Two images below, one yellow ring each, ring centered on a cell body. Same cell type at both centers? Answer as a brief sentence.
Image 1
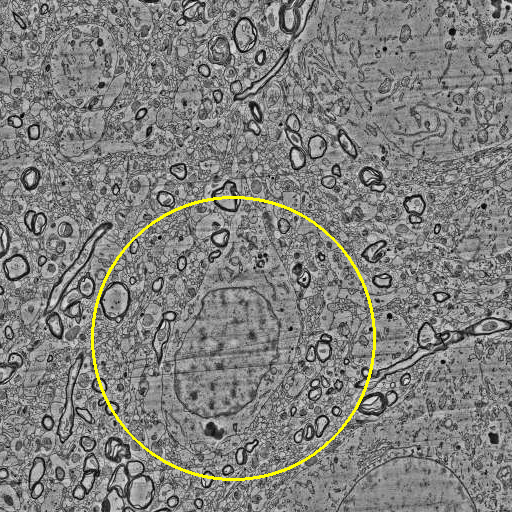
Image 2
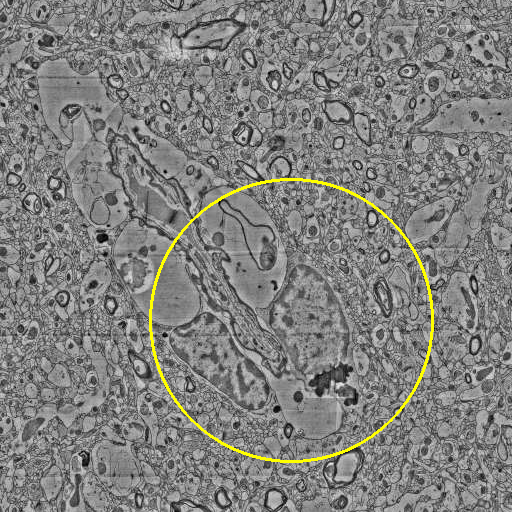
No, the cells are of two separate types.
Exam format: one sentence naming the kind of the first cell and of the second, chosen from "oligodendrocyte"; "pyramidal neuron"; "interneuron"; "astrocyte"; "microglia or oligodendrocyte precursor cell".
The first picture's cell is an interneuron, and the second picture's cell is an oligodendrocyte.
